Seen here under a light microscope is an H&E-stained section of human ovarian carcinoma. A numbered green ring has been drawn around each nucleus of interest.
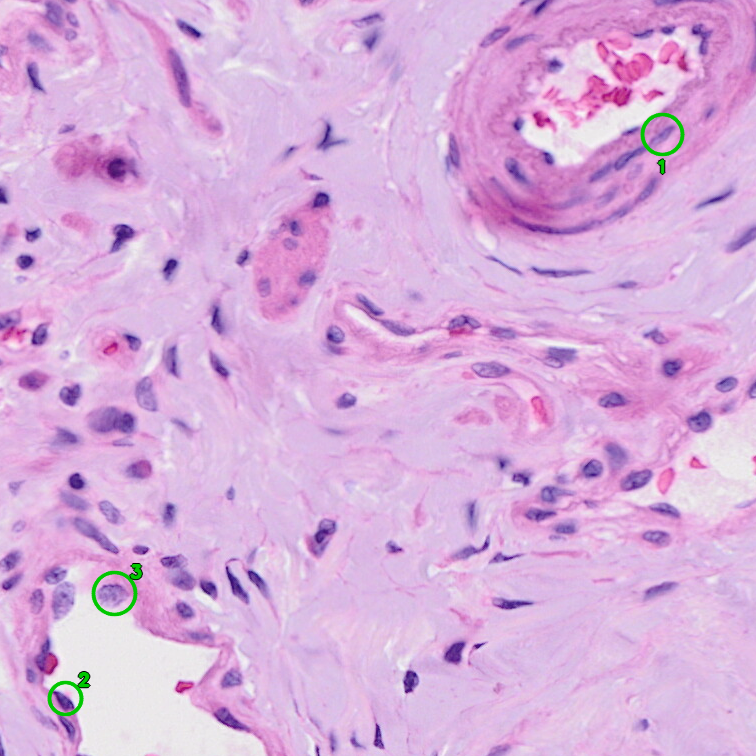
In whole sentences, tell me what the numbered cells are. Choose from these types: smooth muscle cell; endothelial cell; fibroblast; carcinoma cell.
Cell 1 is a smooth muscle cell, cell 2 is an endothelial cell and cell 3 is an endothelial cell.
